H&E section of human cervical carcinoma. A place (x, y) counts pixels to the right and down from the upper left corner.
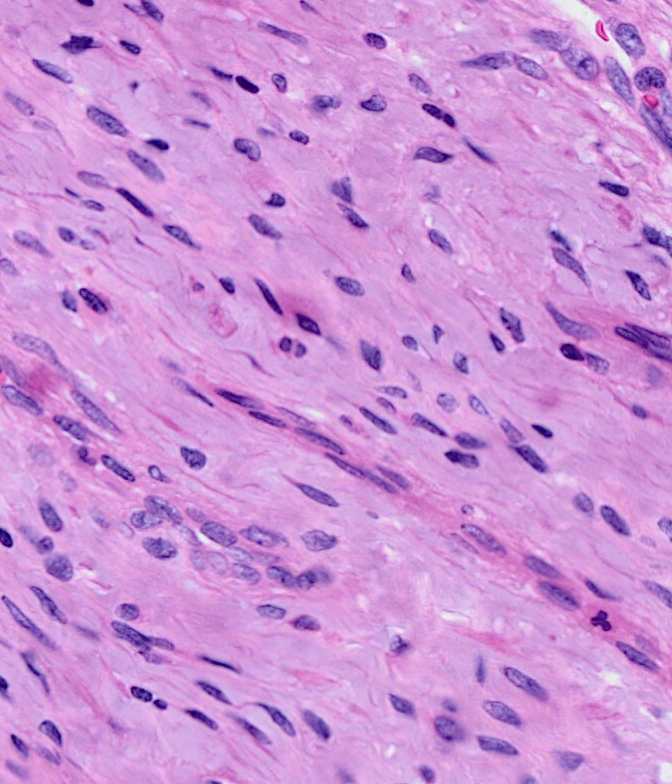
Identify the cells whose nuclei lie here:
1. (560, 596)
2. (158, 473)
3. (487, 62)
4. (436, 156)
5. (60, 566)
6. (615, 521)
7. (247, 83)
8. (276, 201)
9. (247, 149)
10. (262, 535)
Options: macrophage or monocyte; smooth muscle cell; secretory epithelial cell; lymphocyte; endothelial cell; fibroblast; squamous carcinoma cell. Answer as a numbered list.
1. endothelial cell
2. smooth muscle cell
3. fibroblast
4. fibroblast
5. fibroblast
6. fibroblast
7. lymphocyte
8. fibroblast
9. fibroblast
10. smooth muscle cell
